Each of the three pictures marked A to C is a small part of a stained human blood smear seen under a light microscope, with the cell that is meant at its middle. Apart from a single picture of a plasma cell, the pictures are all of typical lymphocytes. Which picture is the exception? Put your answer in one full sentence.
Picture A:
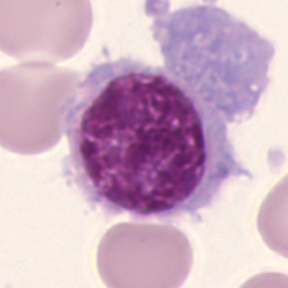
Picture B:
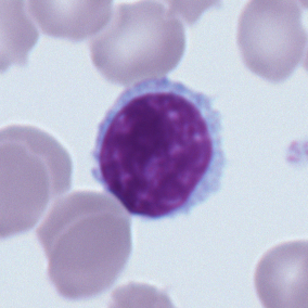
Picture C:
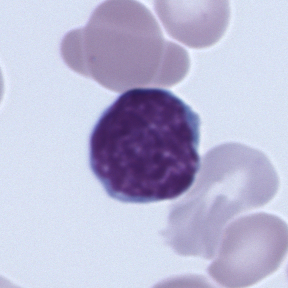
It is picture A that shows the plasma cell.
